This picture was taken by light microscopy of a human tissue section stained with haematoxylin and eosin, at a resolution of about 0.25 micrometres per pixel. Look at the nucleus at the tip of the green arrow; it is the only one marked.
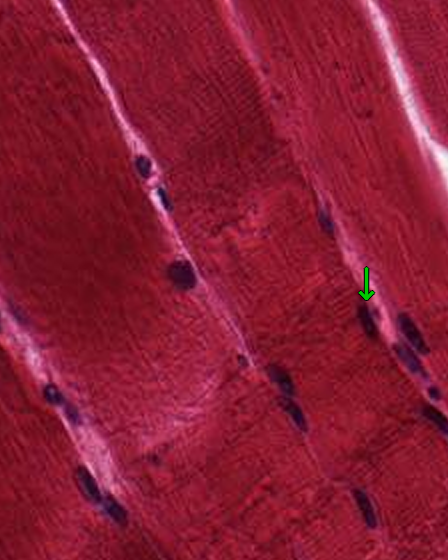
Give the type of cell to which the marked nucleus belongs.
skeletal muscle fibre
